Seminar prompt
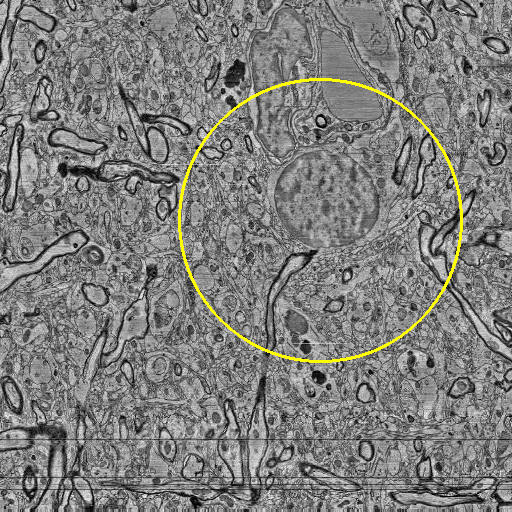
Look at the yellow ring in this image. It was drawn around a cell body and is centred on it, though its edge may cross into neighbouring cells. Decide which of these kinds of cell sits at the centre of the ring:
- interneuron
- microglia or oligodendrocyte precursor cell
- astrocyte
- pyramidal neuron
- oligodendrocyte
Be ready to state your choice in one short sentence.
The kind of cell at the ring's centre is an oligodendrocyte.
